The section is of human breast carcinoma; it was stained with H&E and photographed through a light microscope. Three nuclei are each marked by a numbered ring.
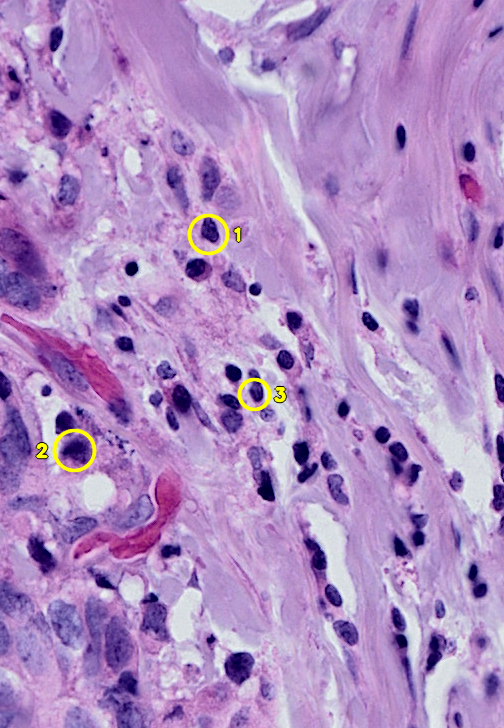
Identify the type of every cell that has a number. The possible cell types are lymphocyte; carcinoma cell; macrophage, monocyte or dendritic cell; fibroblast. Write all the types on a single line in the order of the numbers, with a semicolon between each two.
lymphocyte; carcinoma cell; lymphocyte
